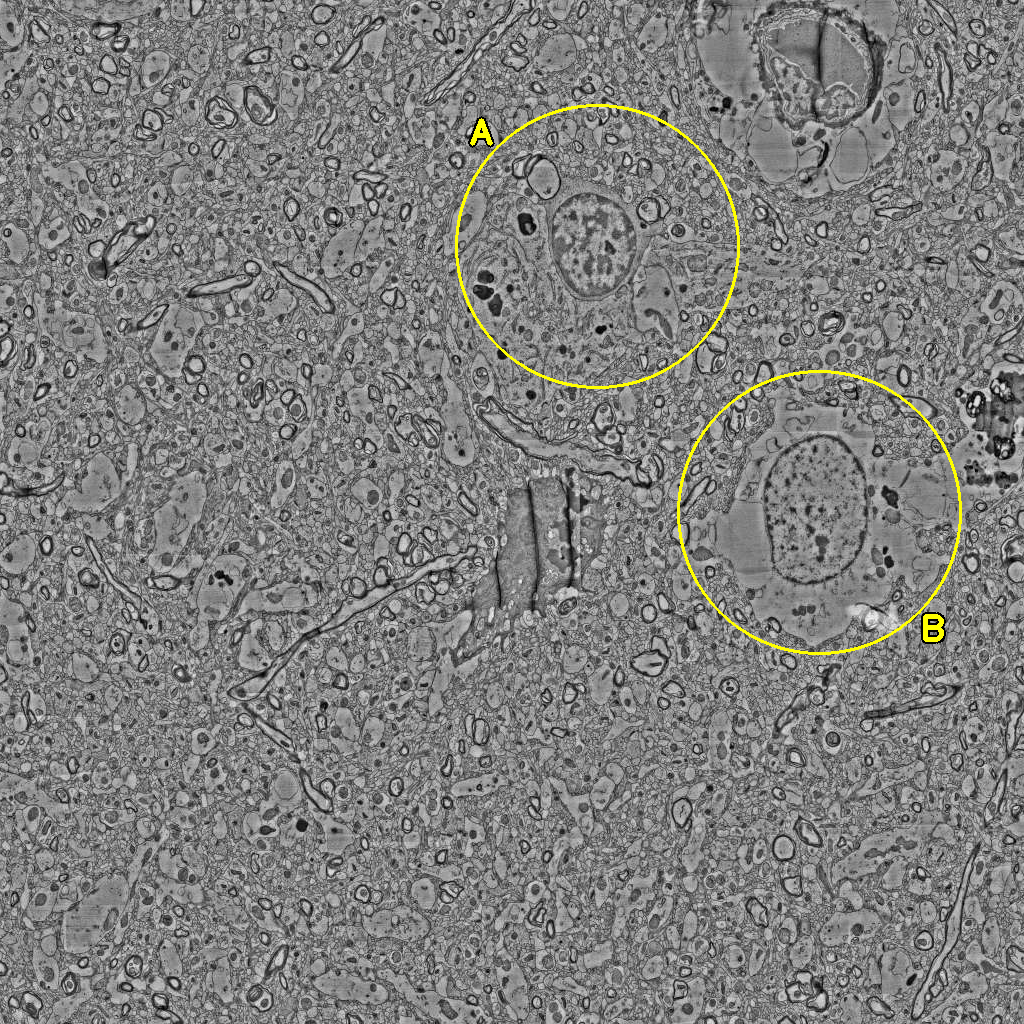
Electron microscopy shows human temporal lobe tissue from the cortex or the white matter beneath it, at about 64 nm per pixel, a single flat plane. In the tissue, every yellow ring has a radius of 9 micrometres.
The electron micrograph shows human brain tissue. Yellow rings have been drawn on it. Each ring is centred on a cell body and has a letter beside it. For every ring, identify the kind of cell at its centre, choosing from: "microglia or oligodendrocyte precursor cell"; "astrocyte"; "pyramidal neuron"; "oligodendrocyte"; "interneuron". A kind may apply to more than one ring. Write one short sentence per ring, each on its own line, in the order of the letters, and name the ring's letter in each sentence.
Ring A is centred on an oligodendrocyte.
Ring B is centred on an astrocyte.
